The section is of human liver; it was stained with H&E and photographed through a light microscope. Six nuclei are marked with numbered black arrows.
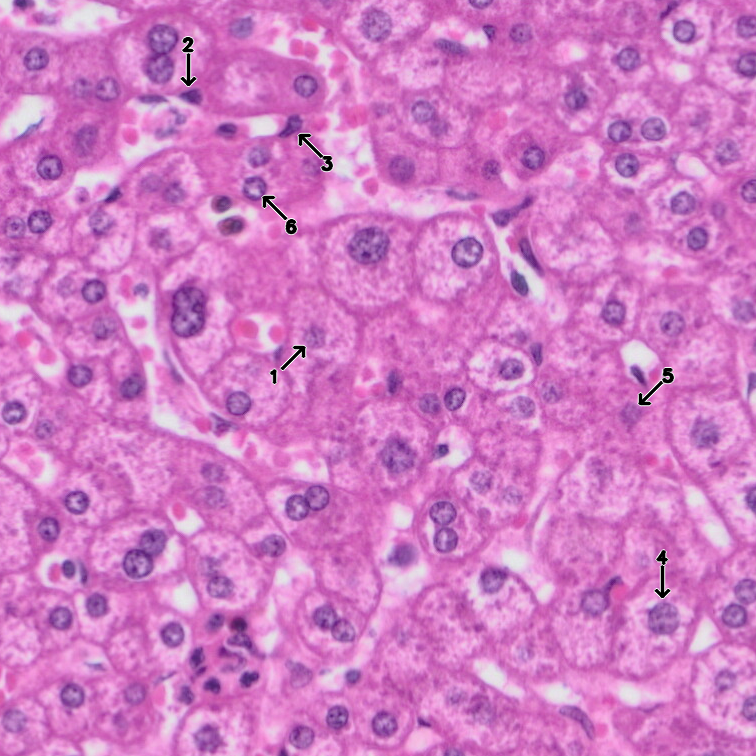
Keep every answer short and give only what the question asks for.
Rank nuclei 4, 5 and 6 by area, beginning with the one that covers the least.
5, 6, 4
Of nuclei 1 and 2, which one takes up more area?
1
